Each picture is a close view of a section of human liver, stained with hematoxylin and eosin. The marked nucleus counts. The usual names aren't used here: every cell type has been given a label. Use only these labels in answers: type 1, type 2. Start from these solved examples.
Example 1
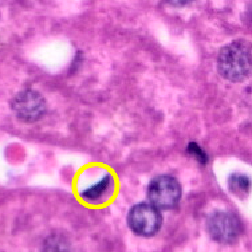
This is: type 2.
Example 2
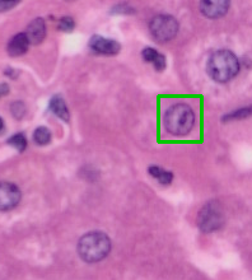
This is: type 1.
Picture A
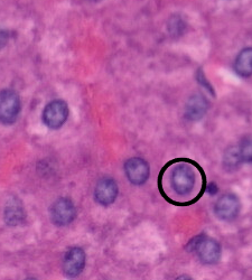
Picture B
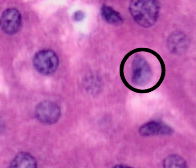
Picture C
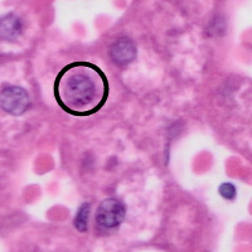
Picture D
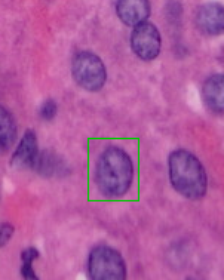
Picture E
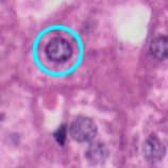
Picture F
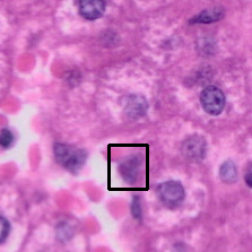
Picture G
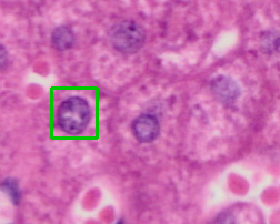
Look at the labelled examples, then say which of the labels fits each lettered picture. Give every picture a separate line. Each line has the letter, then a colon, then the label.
A: type 1.
B: type 2.
C: type 1.
D: type 1.
E: type 1.
F: type 2.
G: type 1.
